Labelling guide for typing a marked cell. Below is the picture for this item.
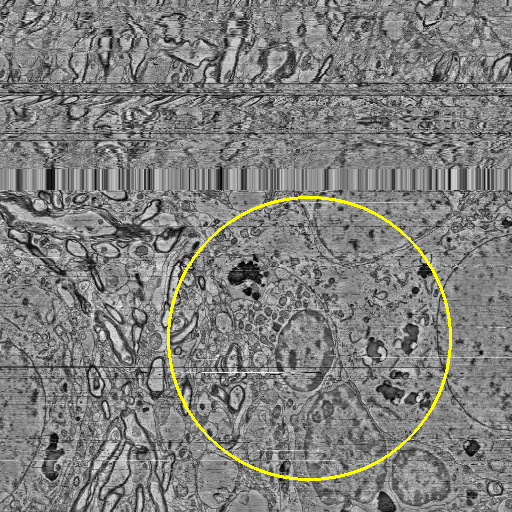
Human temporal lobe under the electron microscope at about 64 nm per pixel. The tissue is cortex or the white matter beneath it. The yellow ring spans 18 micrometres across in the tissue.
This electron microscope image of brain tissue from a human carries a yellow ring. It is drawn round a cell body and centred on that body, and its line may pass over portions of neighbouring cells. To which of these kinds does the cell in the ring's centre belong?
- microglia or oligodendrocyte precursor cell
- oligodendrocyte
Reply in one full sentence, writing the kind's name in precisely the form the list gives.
Here we have a microglial cell or oligodendrocyte precursor cell at the centre of the yellow ring in the picture.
